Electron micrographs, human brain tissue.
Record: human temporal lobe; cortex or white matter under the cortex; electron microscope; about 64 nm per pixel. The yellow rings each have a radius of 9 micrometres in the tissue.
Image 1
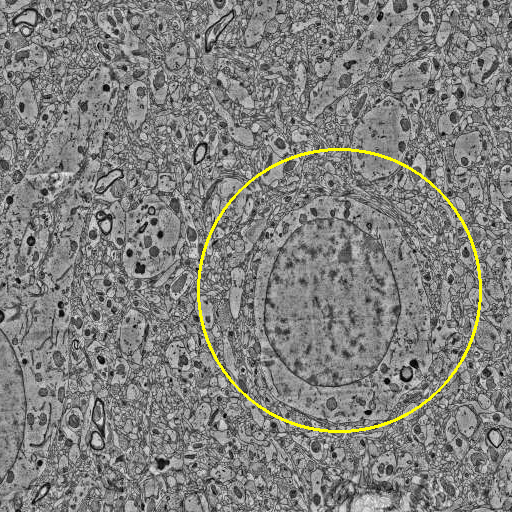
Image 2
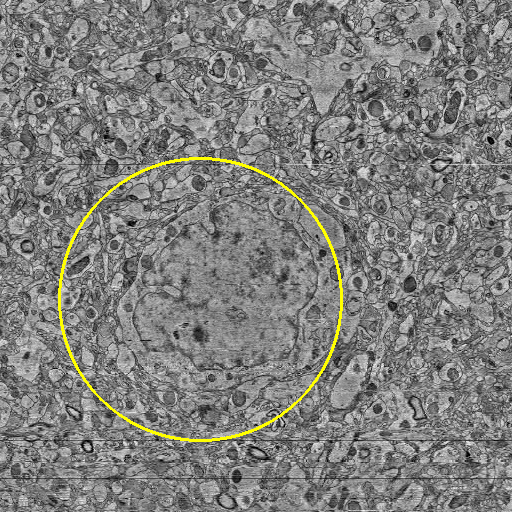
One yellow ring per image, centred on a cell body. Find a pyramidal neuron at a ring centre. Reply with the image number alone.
1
